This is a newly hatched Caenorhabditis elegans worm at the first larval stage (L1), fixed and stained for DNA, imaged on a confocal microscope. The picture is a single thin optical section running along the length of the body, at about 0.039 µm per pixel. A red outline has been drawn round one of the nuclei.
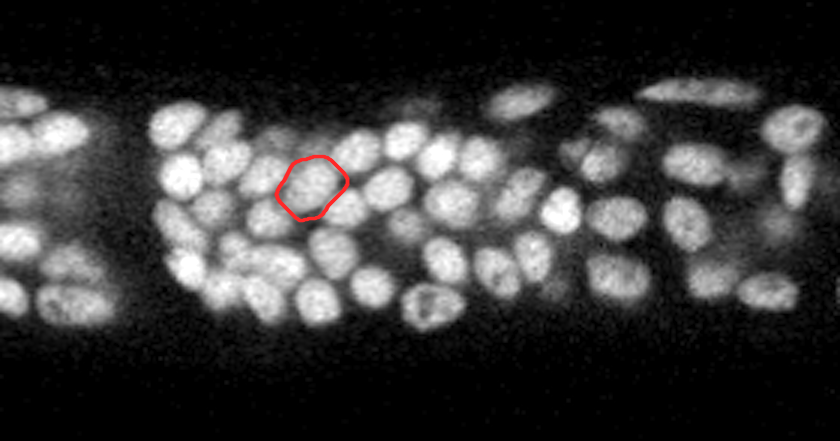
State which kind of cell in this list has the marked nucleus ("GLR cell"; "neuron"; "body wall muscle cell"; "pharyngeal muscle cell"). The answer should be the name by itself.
neuron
